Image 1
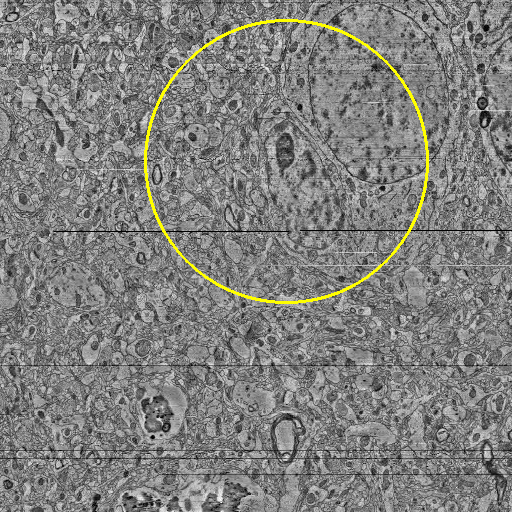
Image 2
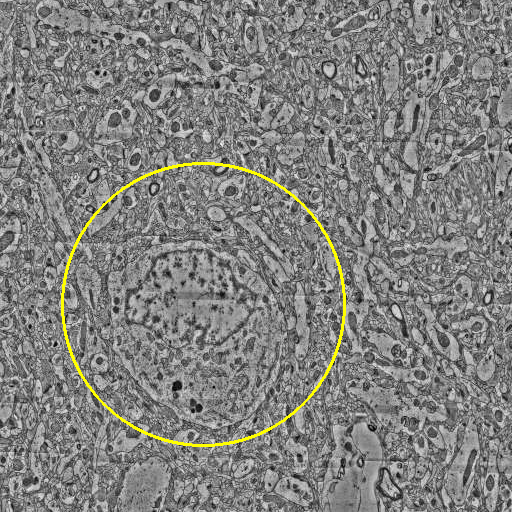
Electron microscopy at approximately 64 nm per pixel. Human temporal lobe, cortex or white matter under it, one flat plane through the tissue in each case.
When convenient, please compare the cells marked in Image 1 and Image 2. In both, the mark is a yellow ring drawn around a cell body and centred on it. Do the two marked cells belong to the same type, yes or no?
yes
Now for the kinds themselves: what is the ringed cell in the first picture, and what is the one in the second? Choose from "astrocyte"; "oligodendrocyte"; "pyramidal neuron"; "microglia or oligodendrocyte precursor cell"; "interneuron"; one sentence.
Both the first and the second picture show an interneuron in the ring.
